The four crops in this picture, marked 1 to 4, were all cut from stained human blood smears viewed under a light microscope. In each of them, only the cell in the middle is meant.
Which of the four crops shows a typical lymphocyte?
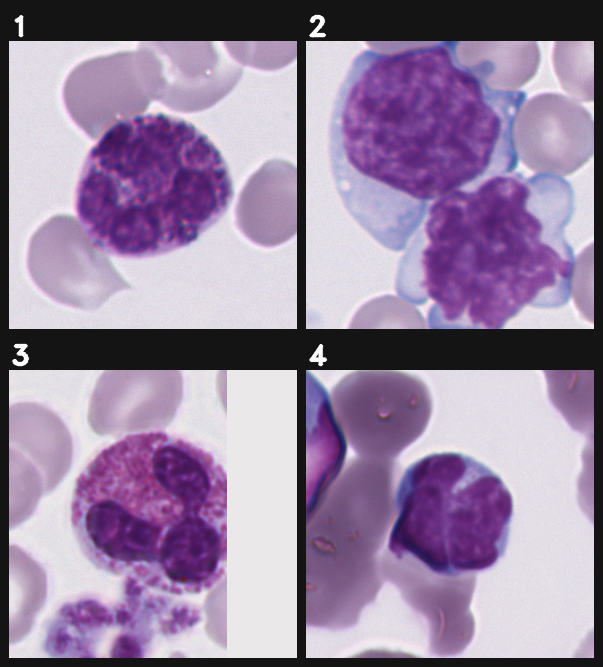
4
